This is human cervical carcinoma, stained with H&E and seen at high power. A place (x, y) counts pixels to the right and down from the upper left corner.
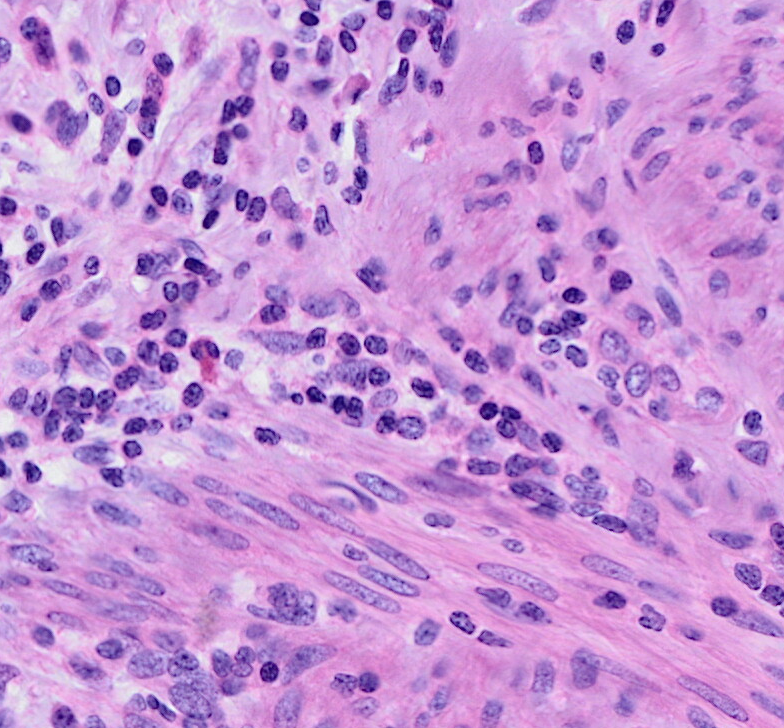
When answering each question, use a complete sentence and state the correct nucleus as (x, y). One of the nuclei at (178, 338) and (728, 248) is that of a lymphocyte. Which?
The nucleus at (178, 338) is part of a lymphocyte, while the other is not.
